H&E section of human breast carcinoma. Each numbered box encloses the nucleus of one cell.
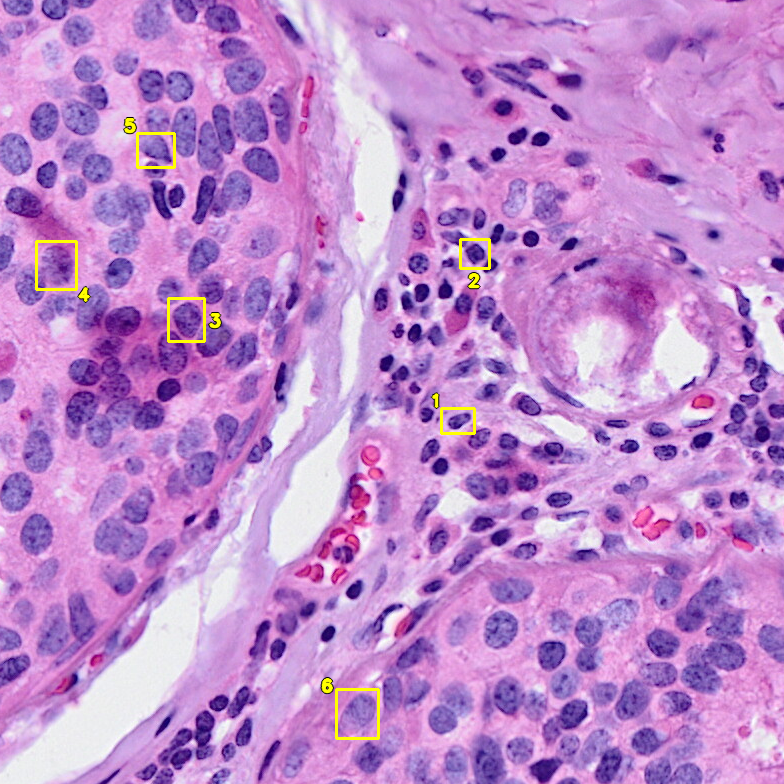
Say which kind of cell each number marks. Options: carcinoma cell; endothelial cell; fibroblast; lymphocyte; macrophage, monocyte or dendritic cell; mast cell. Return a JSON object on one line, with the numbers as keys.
{"1": "lymphocyte", "2": "lymphocyte", "3": "carcinoma cell", "4": "carcinoma cell", "5": "carcinoma cell", "6": "carcinoma cell"}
